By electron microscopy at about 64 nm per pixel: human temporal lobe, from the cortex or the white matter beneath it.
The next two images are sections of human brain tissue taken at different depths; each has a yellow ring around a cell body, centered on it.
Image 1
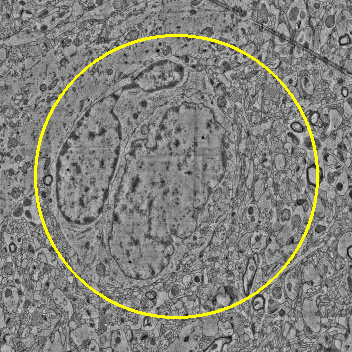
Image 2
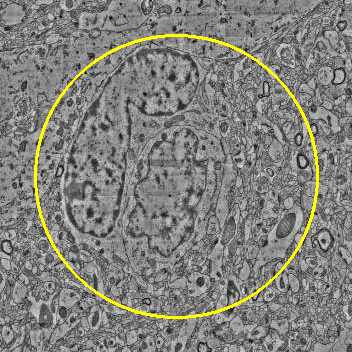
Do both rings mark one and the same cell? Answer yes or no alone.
yes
